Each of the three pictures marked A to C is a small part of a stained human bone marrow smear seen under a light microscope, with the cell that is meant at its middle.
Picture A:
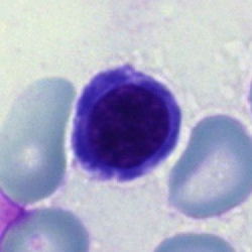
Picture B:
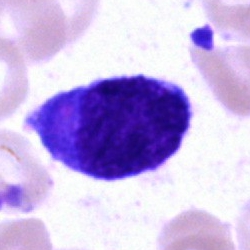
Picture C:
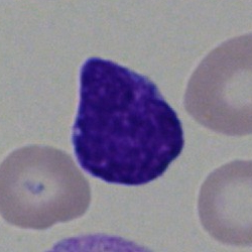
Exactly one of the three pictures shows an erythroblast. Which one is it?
A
